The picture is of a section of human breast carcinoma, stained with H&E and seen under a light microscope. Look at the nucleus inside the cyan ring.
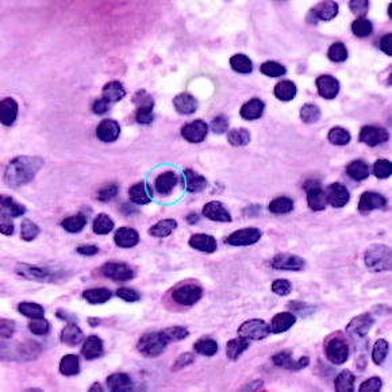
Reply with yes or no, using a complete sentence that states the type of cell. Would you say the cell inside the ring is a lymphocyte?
Yes, the cell inside the ring is, by type, a lymphocyte.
